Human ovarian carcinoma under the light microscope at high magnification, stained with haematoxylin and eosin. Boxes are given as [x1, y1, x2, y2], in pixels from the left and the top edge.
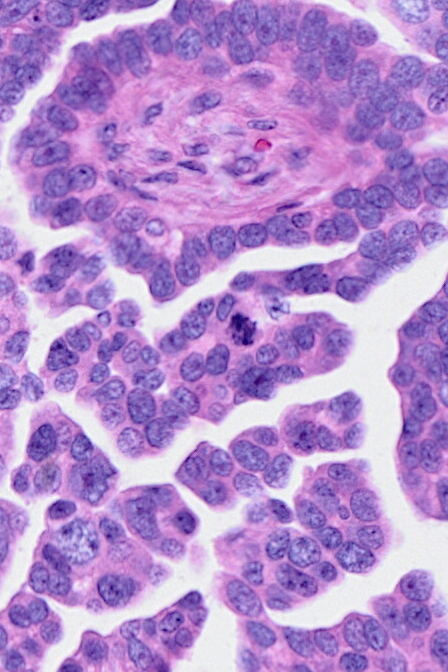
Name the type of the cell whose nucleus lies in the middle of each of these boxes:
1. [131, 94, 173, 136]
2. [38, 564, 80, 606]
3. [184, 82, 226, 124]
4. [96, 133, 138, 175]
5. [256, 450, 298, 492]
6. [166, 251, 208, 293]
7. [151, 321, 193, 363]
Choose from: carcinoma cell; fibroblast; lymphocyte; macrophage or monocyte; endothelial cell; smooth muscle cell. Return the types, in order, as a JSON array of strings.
["fibroblast", "carcinoma cell", "fibroblast", "fibroblast", "carcinoma cell", "carcinoma cell", "carcinoma cell"]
